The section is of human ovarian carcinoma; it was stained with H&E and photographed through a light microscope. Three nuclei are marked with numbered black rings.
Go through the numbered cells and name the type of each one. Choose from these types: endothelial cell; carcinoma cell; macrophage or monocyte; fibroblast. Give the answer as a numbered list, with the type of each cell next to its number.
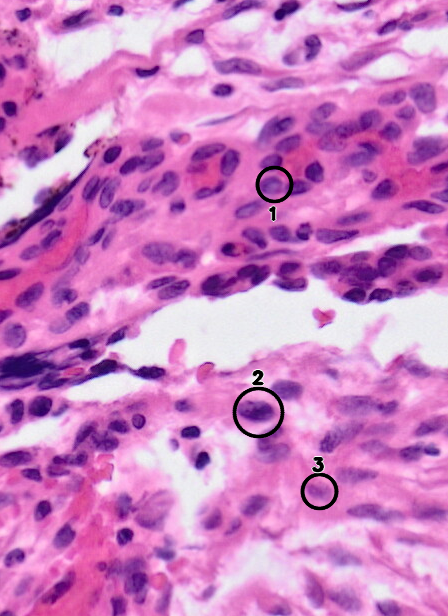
1. endothelial cell
2. fibroblast
3. fibroblast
